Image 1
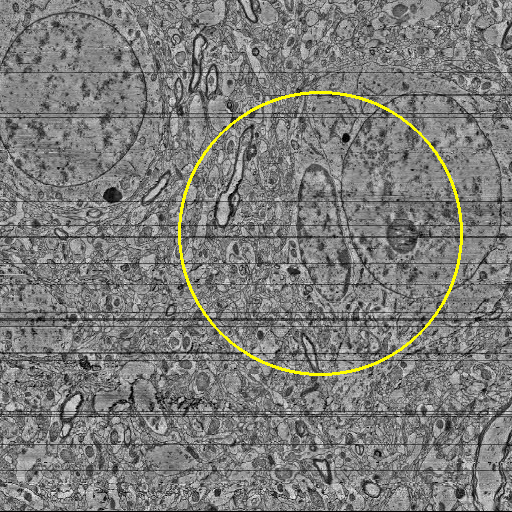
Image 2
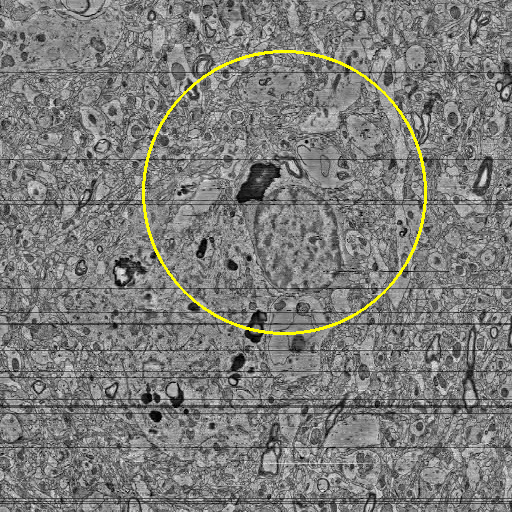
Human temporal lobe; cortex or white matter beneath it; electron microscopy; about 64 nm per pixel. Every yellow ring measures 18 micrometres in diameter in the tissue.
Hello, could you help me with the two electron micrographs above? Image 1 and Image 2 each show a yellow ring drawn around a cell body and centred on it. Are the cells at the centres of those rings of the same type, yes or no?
no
